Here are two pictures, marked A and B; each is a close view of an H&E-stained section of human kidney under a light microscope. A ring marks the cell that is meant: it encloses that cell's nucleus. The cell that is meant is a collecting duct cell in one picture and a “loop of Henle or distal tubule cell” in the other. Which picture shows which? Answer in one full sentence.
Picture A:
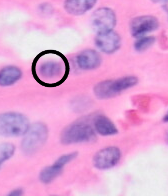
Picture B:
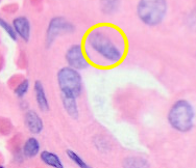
Picture A shows a “loop of Henle or distal tubule cell” and picture B shows a collecting duct cell.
